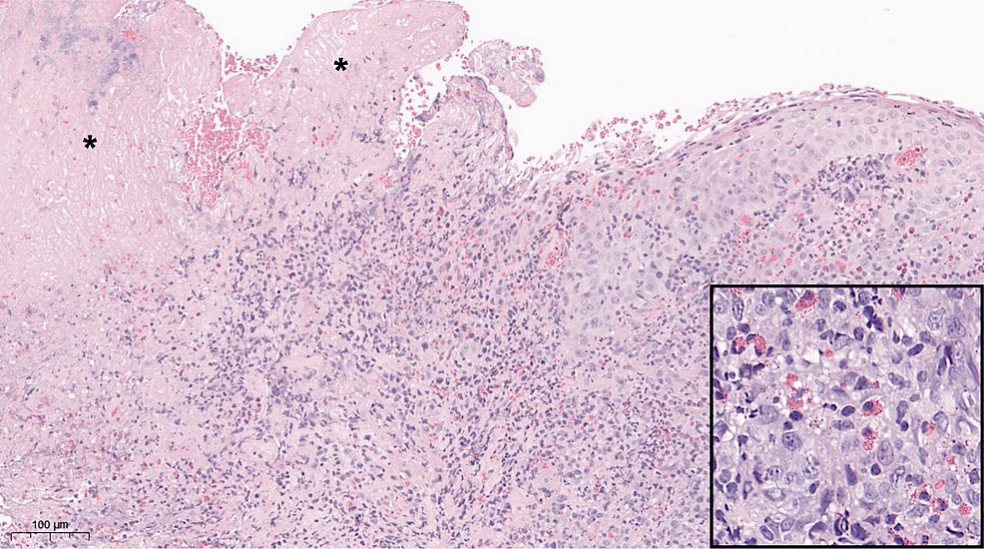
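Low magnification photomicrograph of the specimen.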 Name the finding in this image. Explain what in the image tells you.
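Dense inflammation. The tissue below the surface is crowded with many small dark nuclei. The crowded cells fill the tissue beneath both the ulcer and the intact epithelium.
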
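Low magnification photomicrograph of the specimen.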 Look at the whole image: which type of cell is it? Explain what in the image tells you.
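The inset has large cells with pale, open, round-to-oval nuclei. Small nucleoli are visible in some of these nuclei. A thin rim of purplish cytoplasm surrounds these nuclei. On this evidence: large mononuclear cells with vesicular nuclei.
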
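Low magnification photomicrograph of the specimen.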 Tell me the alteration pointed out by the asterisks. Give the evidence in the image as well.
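Mucosal ulceration. Where the asterisks are, the surface has no lining epithelium. The surface at the asterisks is pale pink amorphous material with red blood cells. At the right, an intact stratified epithelium covers the surface.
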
